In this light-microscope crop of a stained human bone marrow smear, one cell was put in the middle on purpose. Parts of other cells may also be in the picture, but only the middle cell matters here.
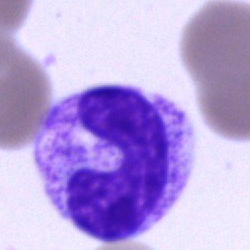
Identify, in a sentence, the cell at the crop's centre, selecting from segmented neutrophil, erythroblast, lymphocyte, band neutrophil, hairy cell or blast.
The cell at the middle of the crop is recognized as a band neutrophil.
